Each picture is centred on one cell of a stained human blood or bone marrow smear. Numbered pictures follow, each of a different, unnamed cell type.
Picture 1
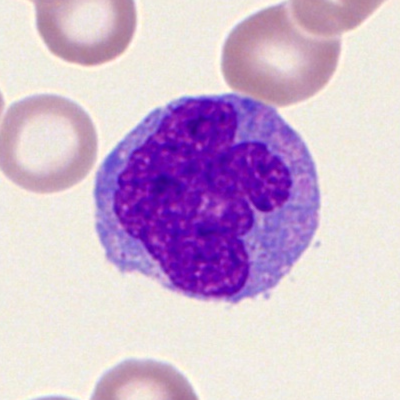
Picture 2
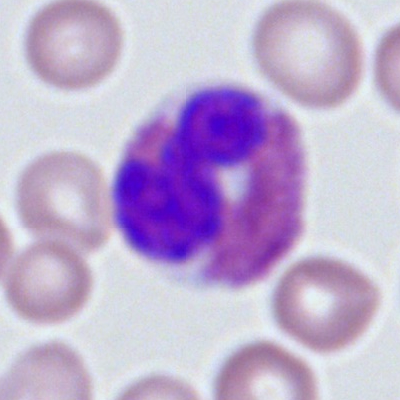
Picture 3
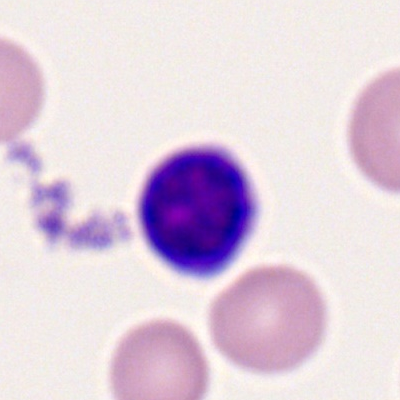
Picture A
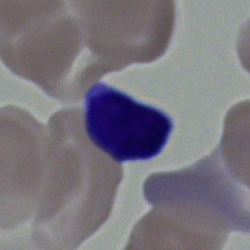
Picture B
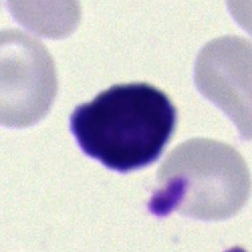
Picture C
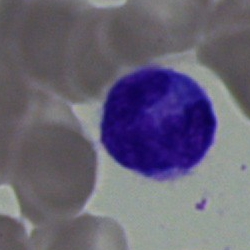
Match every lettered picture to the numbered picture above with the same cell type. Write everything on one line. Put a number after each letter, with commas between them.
A 3, B 3, C 1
